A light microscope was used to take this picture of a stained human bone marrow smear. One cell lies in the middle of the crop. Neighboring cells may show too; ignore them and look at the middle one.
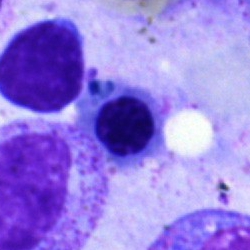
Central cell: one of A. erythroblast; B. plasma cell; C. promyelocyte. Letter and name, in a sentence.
Option A is correct in naming the middle cell an erythroblast.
